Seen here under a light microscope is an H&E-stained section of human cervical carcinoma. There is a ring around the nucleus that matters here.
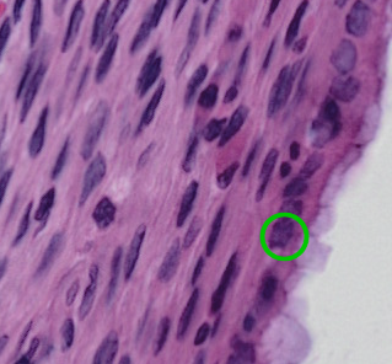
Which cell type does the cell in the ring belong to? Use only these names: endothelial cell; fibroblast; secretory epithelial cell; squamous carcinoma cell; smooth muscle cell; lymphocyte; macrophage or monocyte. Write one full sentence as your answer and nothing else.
Cytologically, the cell in the ring is to be regarded as a secretory epithelial cell.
